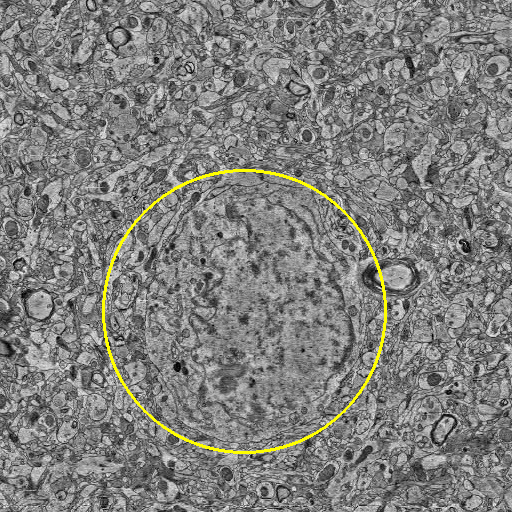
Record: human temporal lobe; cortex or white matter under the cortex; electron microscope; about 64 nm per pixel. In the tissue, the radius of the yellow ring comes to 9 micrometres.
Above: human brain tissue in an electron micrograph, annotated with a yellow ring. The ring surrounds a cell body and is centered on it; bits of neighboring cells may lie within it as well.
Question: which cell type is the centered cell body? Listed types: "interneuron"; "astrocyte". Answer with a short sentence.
The centered cell body is an interneuron.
